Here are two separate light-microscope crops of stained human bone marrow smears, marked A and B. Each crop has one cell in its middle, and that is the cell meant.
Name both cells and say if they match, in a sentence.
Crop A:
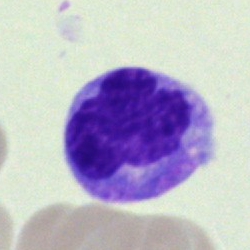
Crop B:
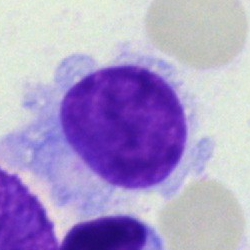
No, crop A offers a monocyte, while crop B offers a hairy cell.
